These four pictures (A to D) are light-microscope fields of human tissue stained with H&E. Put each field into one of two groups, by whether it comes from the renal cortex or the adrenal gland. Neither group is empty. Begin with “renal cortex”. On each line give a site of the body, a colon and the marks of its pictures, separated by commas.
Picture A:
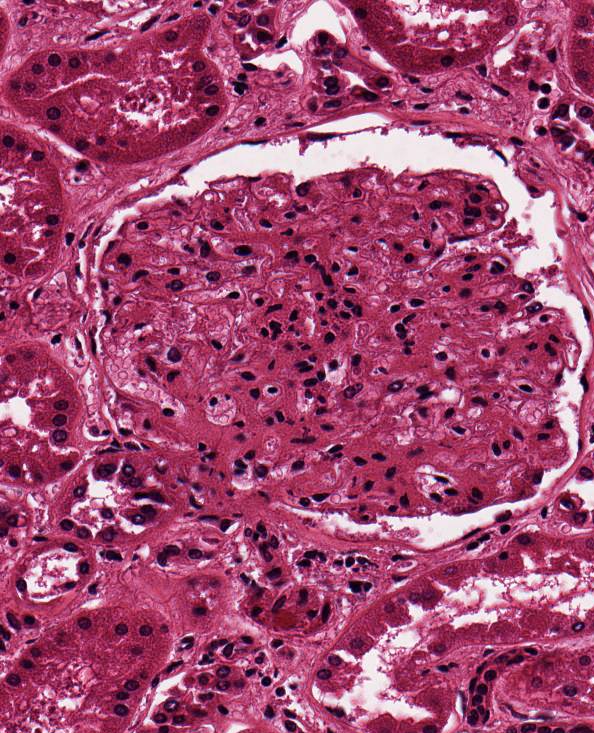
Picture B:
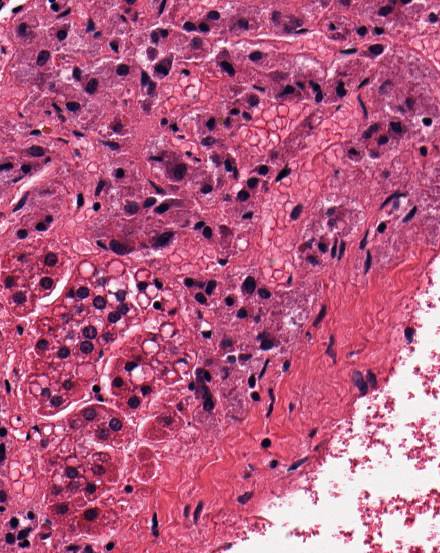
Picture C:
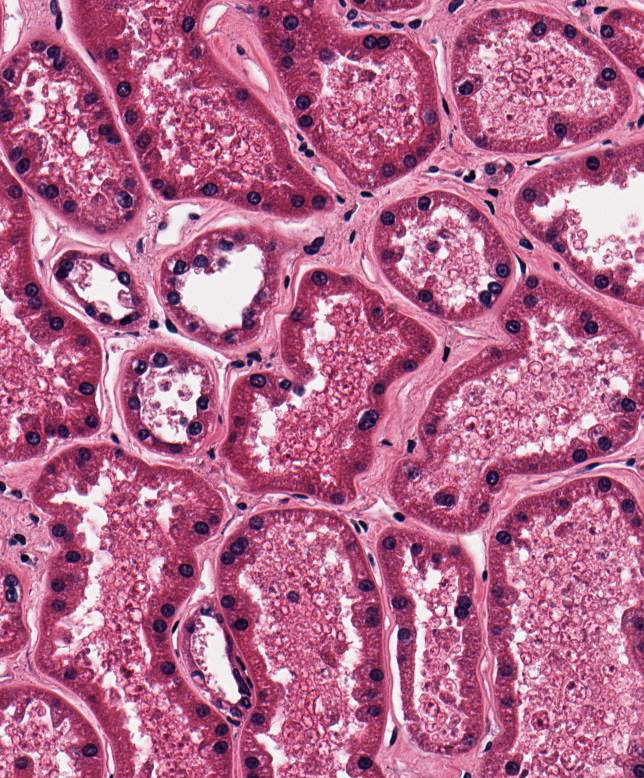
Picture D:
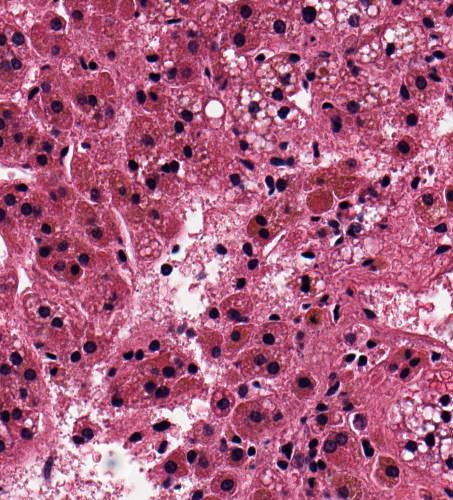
renal cortex: A, C
adrenal gland: B, D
